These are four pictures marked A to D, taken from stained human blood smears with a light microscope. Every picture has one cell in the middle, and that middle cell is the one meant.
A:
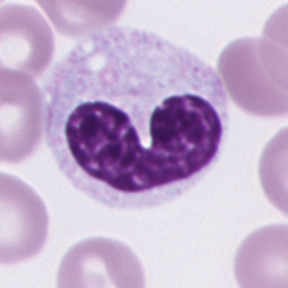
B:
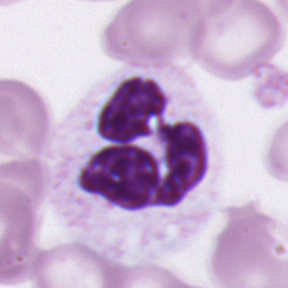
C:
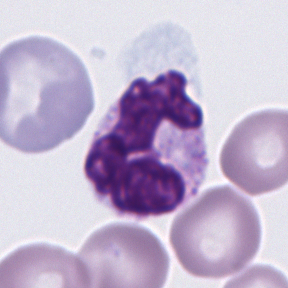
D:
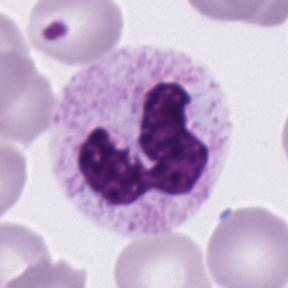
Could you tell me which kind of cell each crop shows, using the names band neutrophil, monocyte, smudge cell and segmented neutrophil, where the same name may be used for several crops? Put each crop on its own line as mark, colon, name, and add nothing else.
A: band neutrophil
B: segmented neutrophil
C: segmented neutrophil
D: segmented neutrophil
